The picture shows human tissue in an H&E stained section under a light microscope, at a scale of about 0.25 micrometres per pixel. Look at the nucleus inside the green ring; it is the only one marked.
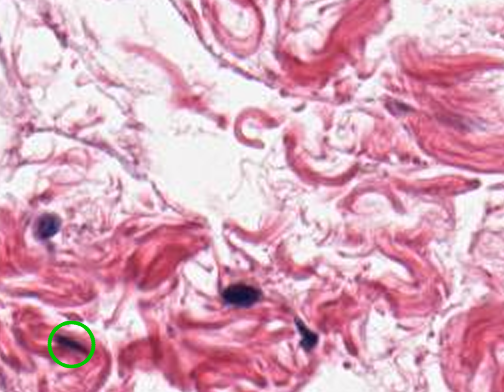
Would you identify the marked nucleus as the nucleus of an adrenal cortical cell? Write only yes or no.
no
